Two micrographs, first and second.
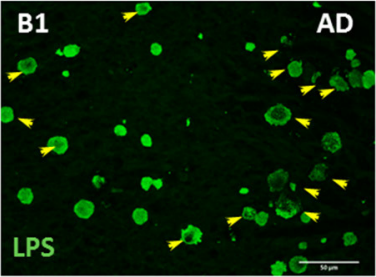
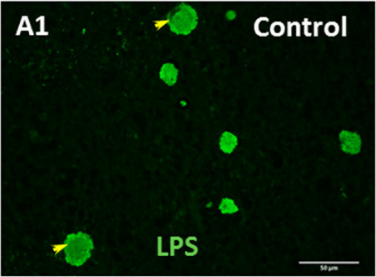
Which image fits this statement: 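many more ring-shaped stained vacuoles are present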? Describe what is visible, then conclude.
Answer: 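The first image. Second image: only a few round green bodies, two marked by arrows. First image: numerous round green bodies, many marked by arrows, several with ring-like rims.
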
